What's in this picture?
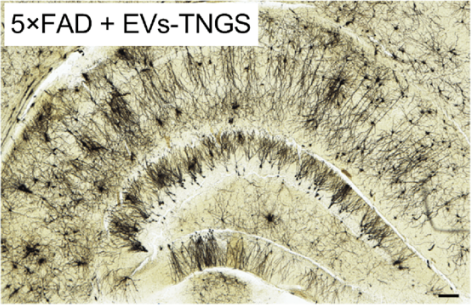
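Black-impregnated neurons on a pale background are gathered in curved, nested bands of cell bodies, from which dense bundles of branching dendrites extend into the adjacent layers. Further neurons with radiating processes are scattered through the tissue above and between the bands. These are hippocampal neurons revealed by Golgi impregnation, with a dense dendritic arbor.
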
